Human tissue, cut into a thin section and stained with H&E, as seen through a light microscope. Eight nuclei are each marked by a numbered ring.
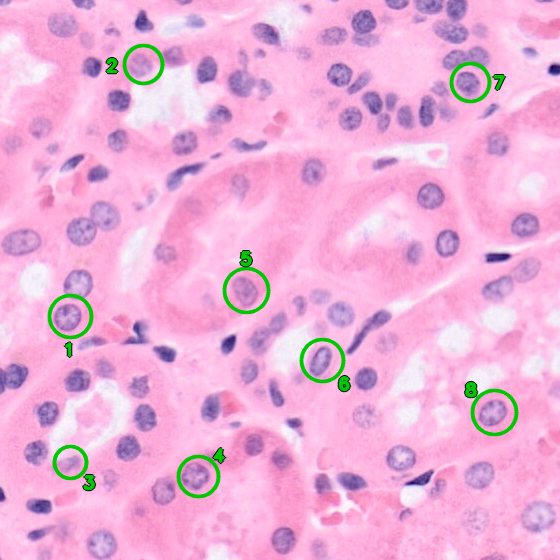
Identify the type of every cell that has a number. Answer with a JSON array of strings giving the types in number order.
["proximal tubule cell", "loop of Henle or distal tubule cell", "loop of Henle or distal tubule cell", "proximal tubule cell", "proximal tubule cell", "collecting duct cell", "collecting duct cell", "proximal tubule cell"]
